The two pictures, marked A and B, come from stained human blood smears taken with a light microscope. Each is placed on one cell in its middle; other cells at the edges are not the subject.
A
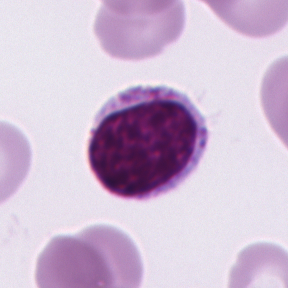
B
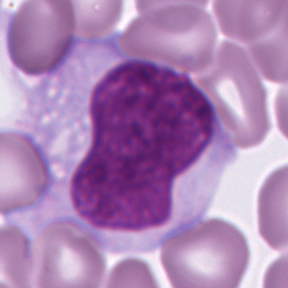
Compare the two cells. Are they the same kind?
no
